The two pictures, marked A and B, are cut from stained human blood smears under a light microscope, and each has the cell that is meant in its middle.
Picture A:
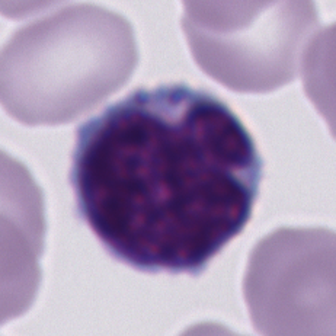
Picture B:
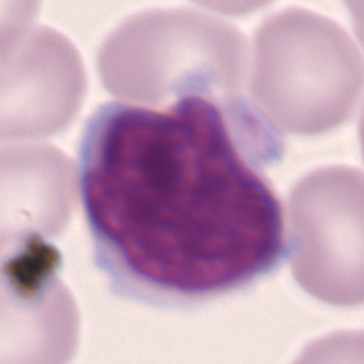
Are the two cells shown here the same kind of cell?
yes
